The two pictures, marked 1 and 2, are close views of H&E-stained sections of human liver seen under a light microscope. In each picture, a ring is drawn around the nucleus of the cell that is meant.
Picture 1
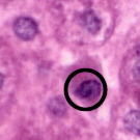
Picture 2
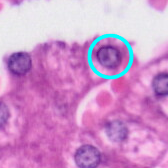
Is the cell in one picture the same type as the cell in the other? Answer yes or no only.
no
